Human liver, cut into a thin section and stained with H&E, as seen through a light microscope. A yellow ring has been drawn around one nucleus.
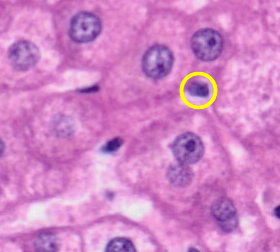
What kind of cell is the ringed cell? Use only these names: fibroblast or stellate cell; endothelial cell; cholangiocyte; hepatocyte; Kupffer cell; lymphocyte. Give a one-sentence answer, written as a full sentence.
In the stained section, the ringed cell is an endothelial cell.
